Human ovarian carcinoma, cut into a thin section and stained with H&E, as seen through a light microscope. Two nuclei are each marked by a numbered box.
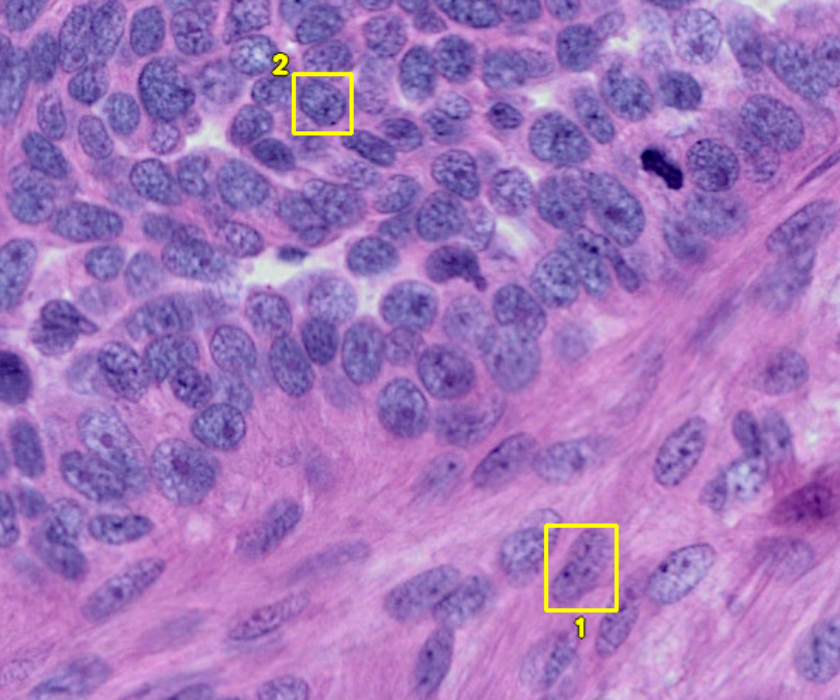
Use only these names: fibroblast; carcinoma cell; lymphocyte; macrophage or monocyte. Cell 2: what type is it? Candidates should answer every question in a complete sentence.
Cell 2, as marked in the section, is a carcinoma cell.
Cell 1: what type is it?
Here, the cell given the number 1 is a fibroblast.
